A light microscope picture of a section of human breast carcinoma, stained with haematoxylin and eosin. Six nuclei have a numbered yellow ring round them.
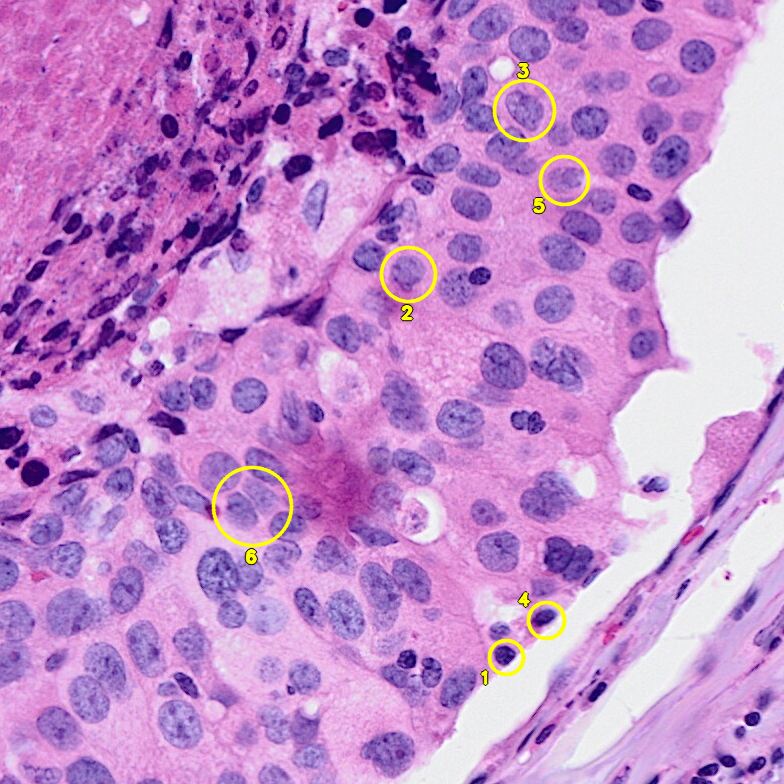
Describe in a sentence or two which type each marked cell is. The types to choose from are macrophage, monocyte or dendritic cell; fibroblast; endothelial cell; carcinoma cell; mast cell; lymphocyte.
Cells 1 and 4 are lymphocytes. Cells 2, 3, 5 and 6 are carcinoma cells.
